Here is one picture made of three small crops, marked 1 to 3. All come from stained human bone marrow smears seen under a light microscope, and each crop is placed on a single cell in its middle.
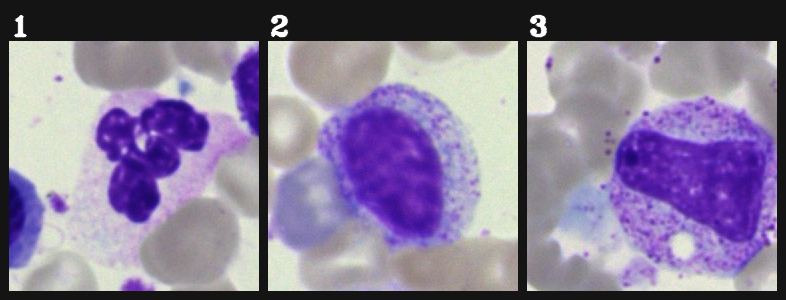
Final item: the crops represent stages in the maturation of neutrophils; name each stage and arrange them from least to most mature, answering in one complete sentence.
Counting from the least mature up to the most mature, the order is crop 2 (a myelocyte), crop 3 (a metamyelocyte) and crop 1 (a segmented neutrophil).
